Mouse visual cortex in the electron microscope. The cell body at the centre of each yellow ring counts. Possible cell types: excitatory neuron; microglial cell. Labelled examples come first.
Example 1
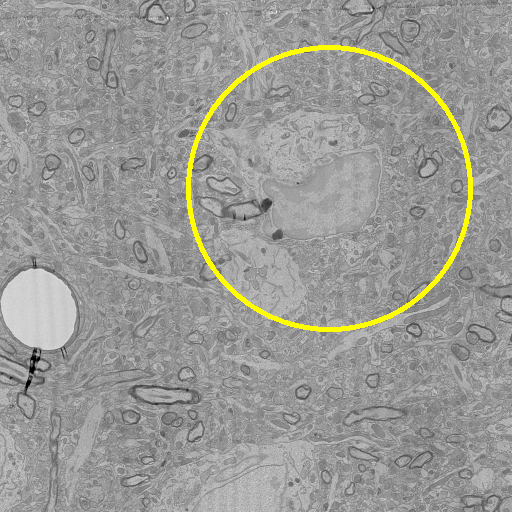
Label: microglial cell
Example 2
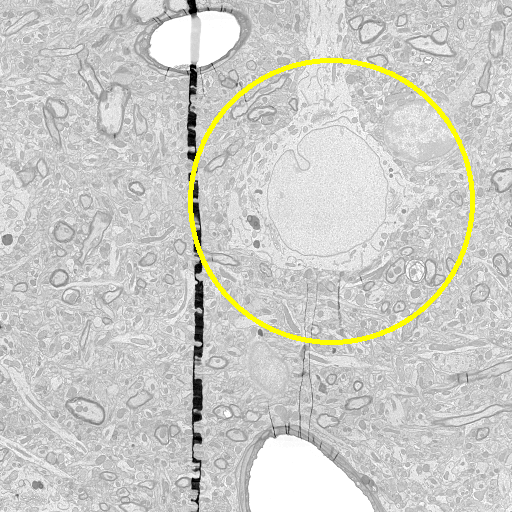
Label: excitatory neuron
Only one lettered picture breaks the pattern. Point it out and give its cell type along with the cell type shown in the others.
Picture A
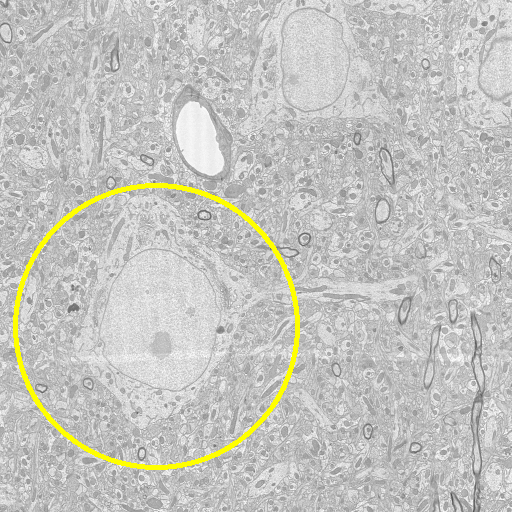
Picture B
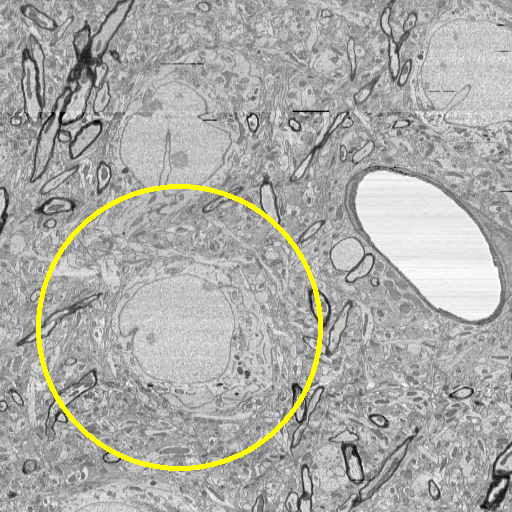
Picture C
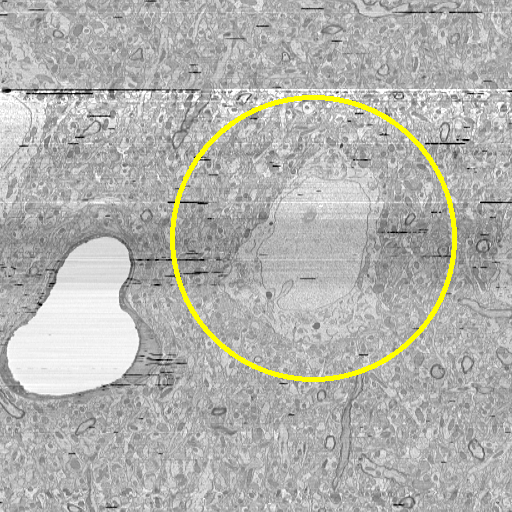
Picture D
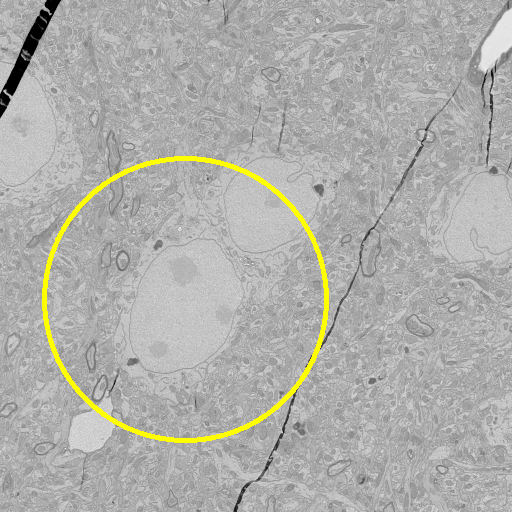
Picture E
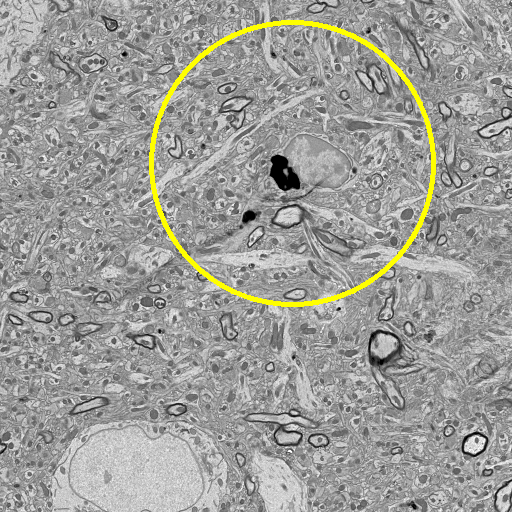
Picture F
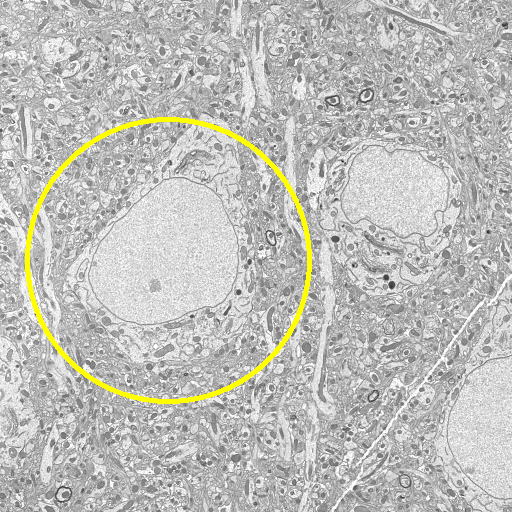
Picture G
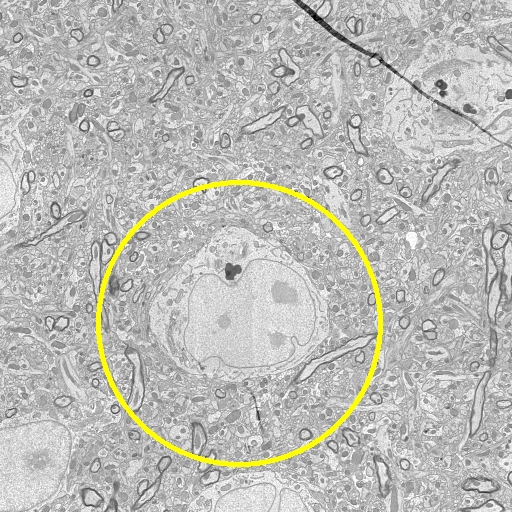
Picture E: microglial cell. All others: excitatory neuron.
